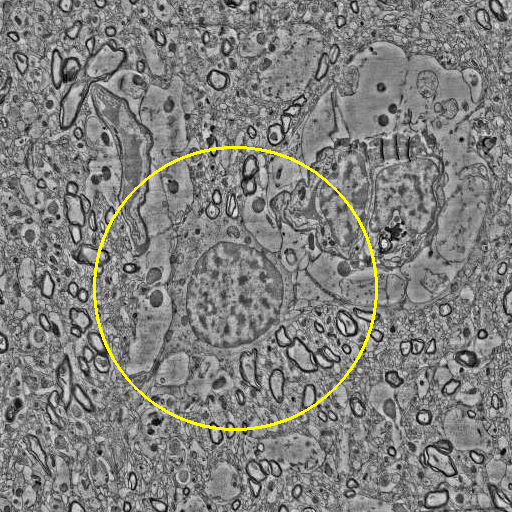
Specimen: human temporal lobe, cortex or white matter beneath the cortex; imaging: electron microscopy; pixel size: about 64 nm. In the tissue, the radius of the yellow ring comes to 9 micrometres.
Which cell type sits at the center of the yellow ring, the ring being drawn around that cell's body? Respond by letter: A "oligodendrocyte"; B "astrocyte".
A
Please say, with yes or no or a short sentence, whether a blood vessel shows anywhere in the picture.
Yes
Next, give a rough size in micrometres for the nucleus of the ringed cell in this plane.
The ringed cell's nucleus is about 6 micrometres across in this plane.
